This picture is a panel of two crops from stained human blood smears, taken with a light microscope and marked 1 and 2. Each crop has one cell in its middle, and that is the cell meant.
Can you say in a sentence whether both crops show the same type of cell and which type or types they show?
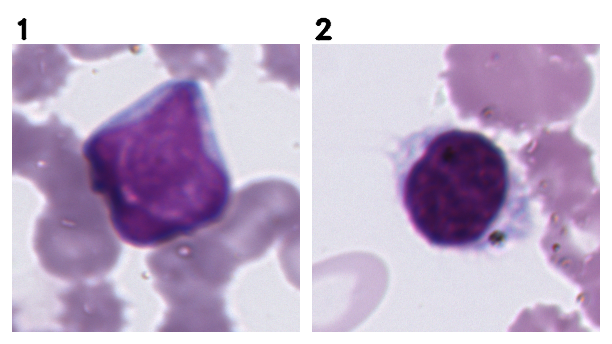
No, shown in crop 1 is a myeloblast, and shown in crop 2 is a hairy cell.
